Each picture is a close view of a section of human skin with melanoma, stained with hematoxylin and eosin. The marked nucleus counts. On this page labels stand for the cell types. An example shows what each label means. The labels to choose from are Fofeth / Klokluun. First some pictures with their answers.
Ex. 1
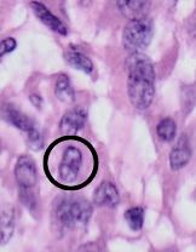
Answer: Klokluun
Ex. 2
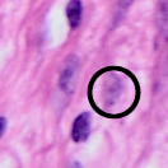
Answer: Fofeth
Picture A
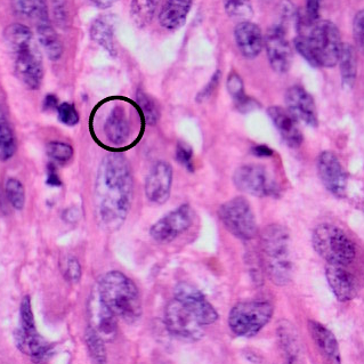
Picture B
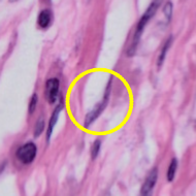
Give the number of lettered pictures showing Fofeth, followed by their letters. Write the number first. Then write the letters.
1: B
